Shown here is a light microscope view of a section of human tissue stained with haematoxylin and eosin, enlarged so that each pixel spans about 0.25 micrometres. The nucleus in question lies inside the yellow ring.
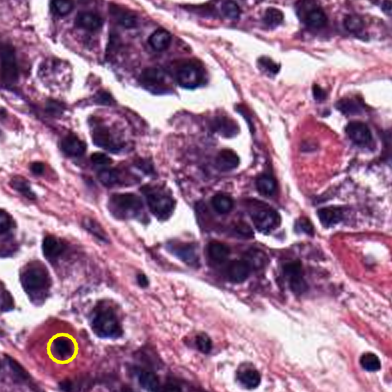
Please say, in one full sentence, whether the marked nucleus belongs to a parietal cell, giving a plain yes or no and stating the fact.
Yes, the marked nucleus, as shown, belongs to a parietal cell.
